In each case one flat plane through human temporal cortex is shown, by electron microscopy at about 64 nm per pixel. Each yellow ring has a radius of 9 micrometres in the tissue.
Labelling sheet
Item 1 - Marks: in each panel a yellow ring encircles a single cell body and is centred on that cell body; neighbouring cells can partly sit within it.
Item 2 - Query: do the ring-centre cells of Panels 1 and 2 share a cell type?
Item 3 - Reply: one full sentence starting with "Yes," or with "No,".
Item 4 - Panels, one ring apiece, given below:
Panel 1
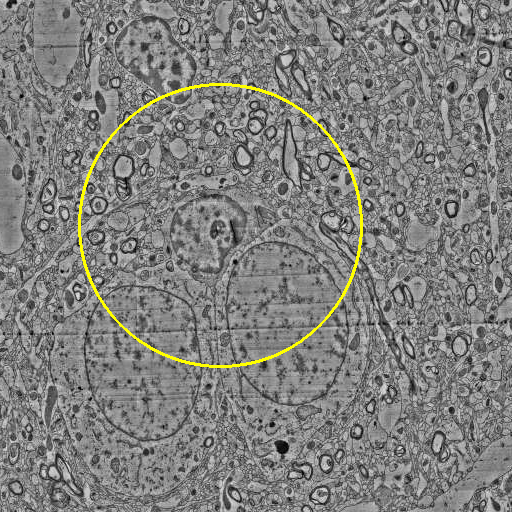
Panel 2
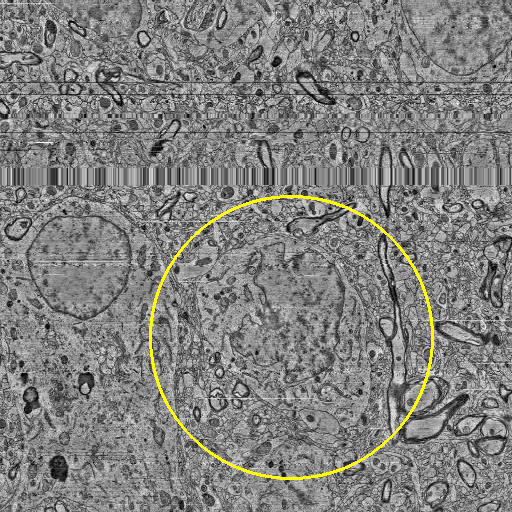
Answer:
No, Panel 1 and Panel 2 show two cell types at the centres of their rings.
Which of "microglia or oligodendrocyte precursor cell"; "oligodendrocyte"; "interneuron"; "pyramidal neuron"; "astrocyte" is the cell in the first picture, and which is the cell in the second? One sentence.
The two differ: the first cell is an oligodendrocyte and the second is an interneuron.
